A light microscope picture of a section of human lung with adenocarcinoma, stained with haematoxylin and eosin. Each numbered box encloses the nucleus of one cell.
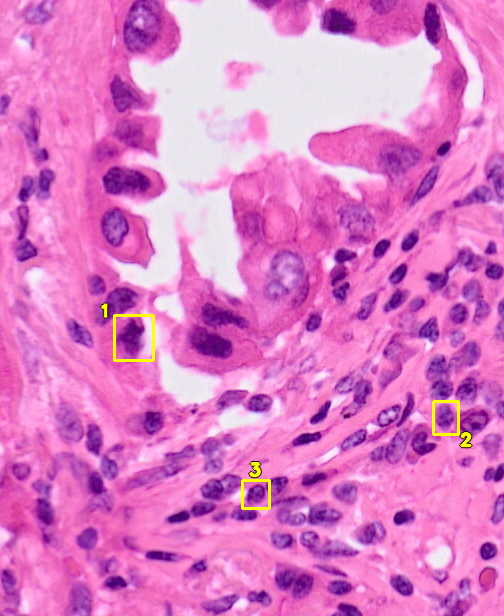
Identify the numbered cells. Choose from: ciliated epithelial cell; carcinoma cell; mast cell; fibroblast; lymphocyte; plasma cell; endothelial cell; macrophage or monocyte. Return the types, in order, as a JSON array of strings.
["carcinoma cell", "lymphocyte", "lymphocyte"]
